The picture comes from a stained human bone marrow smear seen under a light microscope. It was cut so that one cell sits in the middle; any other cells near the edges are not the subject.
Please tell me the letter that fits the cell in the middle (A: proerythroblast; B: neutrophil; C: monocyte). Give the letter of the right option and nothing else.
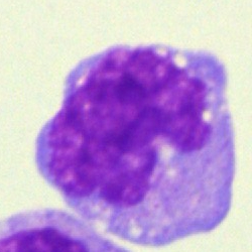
C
